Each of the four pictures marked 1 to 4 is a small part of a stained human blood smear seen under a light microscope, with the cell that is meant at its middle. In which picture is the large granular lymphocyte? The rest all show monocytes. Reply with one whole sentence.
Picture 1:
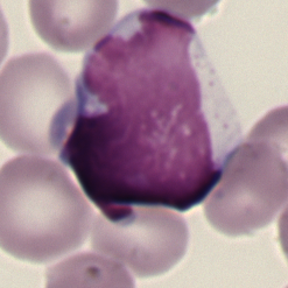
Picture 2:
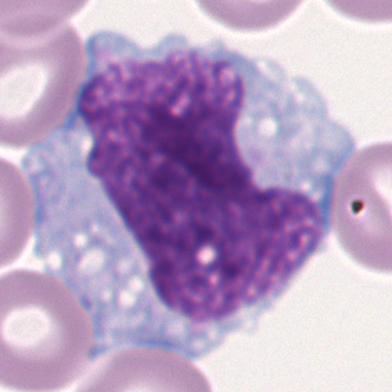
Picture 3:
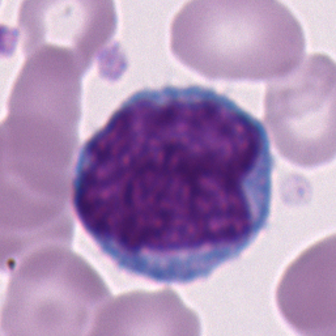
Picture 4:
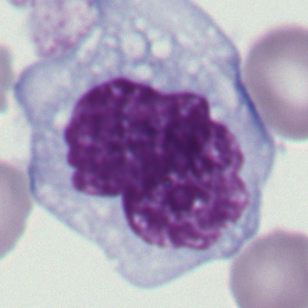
Picture 1 is the one that shows the large granular lymphocyte.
